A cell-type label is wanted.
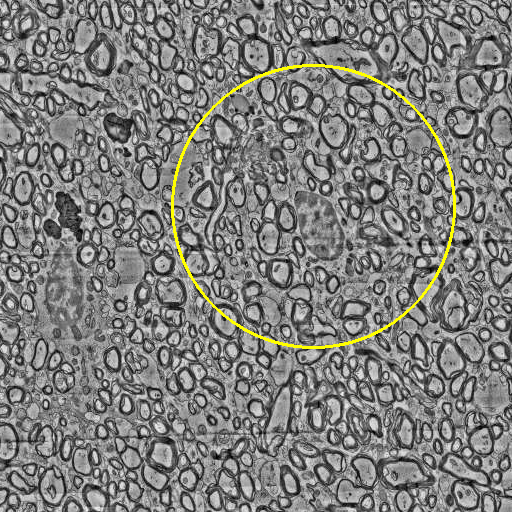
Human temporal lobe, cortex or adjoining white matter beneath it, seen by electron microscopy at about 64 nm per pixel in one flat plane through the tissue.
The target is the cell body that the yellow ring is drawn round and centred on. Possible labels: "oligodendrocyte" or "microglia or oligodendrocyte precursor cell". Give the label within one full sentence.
Of the labels offered, the cell in the middle of the yellow ring is a microglial cell or oligodendrocyte precursor cell.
